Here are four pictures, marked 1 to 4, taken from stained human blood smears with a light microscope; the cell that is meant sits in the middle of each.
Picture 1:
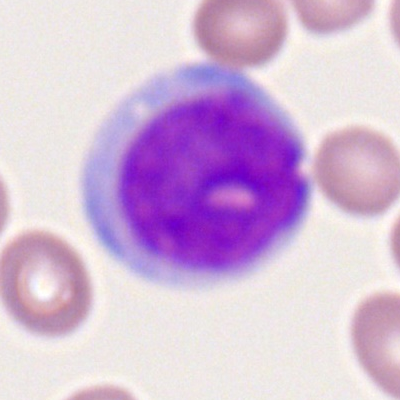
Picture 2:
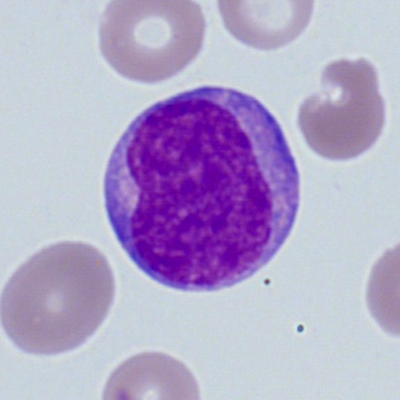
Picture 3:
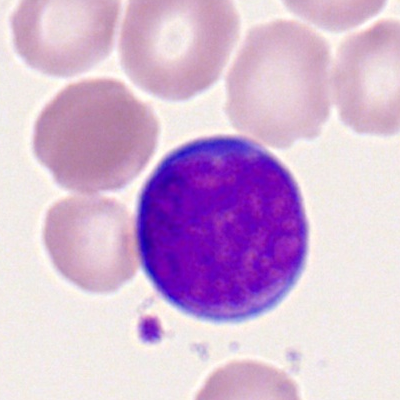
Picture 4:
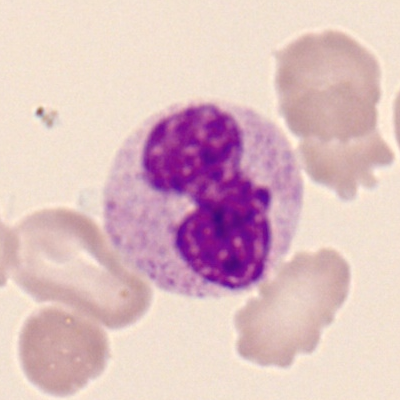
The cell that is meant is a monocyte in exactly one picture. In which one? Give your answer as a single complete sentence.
Picture 4 shows the monocyte.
